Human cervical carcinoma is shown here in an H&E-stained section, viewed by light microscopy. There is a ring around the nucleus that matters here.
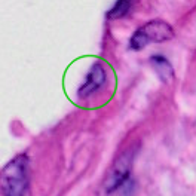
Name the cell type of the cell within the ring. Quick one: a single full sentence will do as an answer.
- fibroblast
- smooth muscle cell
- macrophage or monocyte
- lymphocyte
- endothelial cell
Students should answer that the cell within the ring is an endothelial cell.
